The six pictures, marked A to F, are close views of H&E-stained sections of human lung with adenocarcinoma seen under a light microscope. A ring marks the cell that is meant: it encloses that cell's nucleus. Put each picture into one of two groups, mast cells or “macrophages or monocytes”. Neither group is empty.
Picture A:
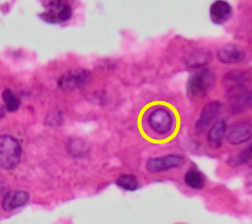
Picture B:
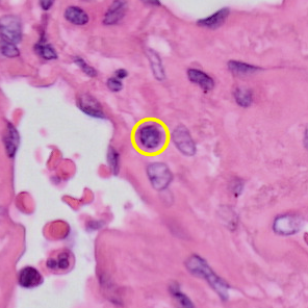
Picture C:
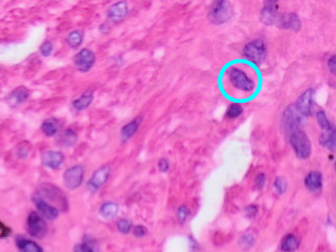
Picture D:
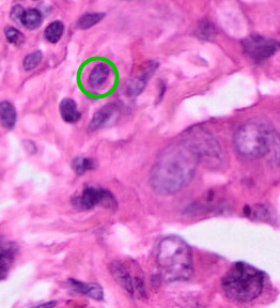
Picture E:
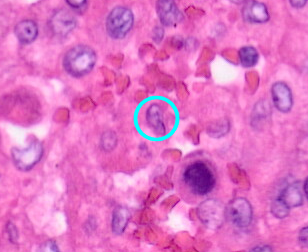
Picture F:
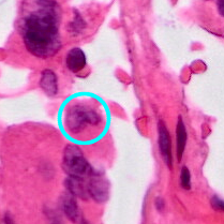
A: macrophage or monocyte
B: mast cell
C: mast cell
D: mast cell
E: macrophage or monocyte
F: macrophage or monocyte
